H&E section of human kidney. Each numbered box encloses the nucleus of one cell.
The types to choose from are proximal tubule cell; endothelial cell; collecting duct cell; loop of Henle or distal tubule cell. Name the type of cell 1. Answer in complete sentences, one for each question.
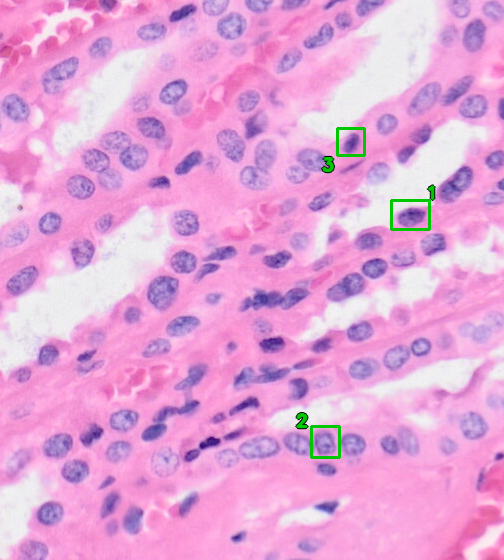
Marked with the number 1, this cell is a loop of Henle or distal tubule cell.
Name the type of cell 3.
The nucleus labelled 3 belongs to a collecting duct cell.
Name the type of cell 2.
Looking at the numbered marks, cell 2 is a collecting duct cell.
